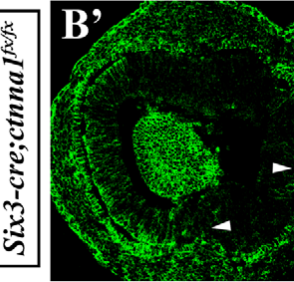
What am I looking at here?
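This section of a developing optic cup shows a central round lens surrounded by a curved layer of progenitor cells and a thin outer layer. Green staining remains in the thin outer layer, in the surrounding tissue and in the lens.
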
